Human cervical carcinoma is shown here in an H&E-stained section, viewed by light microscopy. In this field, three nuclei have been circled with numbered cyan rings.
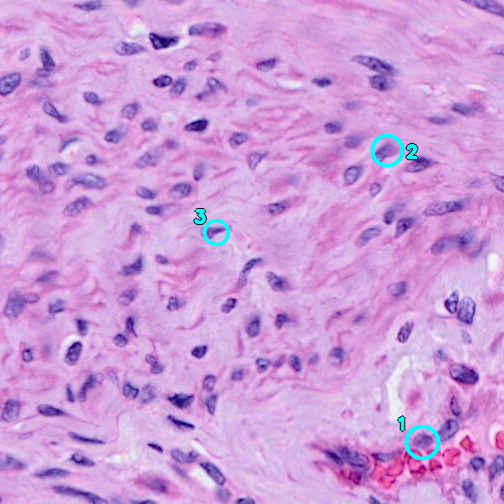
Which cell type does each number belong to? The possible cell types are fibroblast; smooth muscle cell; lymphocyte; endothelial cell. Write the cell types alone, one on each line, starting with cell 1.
endothelial cell
smooth muscle cell
fibroblast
